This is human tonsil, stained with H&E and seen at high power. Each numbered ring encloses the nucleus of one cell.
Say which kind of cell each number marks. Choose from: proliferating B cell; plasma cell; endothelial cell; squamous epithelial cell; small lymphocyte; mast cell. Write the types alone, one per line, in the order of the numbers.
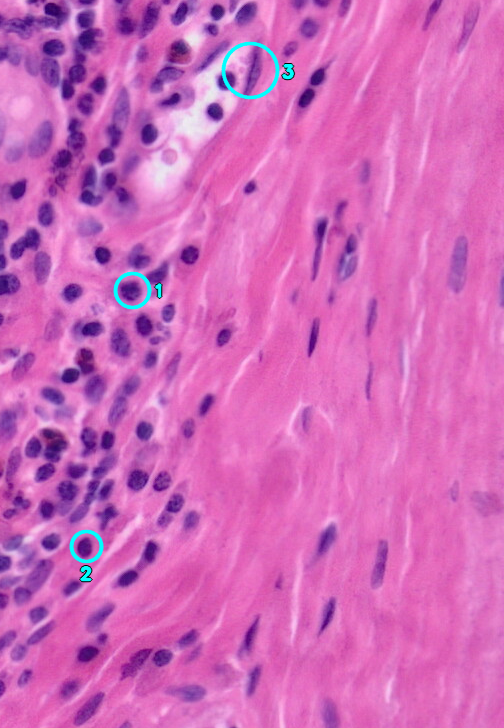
plasma cell
mast cell
endothelial cell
